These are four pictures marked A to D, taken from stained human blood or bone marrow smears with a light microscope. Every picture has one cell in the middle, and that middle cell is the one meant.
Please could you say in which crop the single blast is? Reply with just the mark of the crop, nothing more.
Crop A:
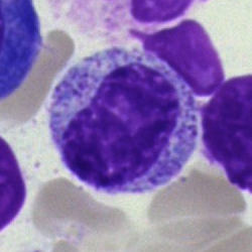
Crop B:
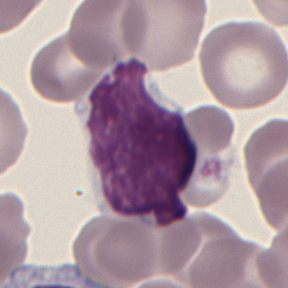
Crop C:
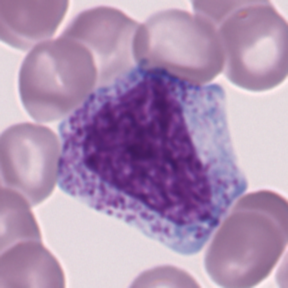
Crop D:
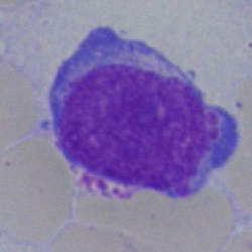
D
